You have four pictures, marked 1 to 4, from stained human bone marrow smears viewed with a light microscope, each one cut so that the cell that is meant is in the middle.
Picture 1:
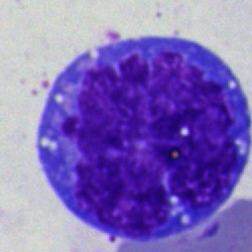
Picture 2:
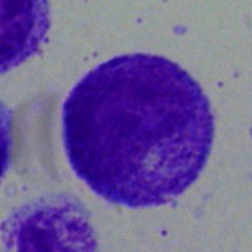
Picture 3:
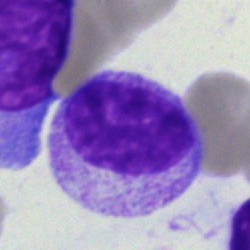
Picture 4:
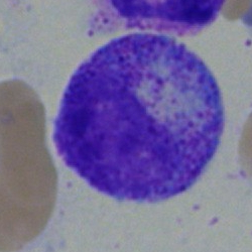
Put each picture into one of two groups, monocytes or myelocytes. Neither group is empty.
1: monocyte
2: myelocyte
3: myelocyte
4: myelocyte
